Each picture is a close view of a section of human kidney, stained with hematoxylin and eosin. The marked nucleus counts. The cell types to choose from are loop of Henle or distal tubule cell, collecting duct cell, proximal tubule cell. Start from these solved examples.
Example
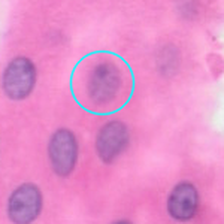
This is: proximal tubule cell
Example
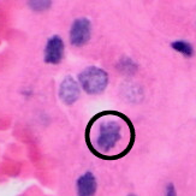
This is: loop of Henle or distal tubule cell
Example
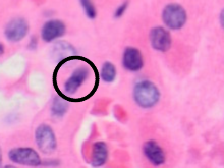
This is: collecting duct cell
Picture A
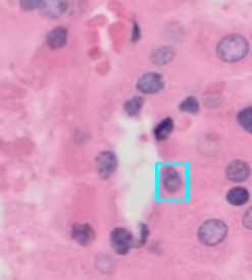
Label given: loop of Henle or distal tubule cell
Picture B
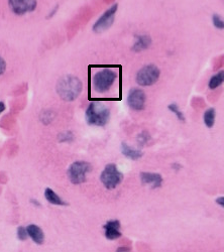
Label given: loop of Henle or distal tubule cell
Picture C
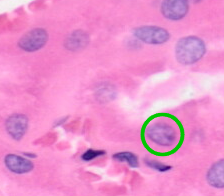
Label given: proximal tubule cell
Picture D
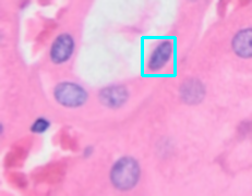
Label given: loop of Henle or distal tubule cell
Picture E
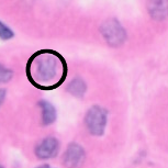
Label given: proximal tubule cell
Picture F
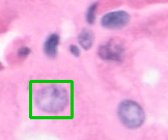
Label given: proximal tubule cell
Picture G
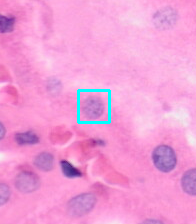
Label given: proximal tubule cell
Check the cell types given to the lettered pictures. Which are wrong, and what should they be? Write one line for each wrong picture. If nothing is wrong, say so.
E: loop of Henle or distal tubule cell, not proximal tubule cell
